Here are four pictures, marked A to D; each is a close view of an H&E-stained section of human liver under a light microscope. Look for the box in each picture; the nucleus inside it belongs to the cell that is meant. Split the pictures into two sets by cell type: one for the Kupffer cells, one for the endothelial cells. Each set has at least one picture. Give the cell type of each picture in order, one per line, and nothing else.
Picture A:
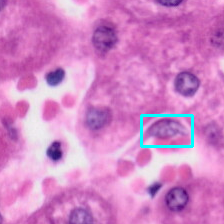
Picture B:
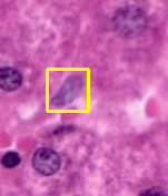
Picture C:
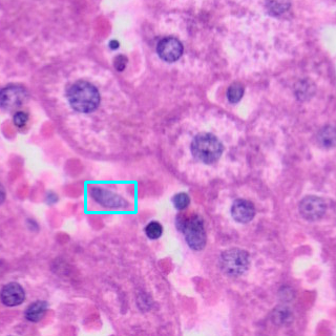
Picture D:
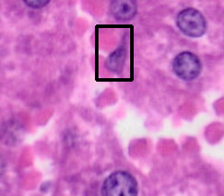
Kupffer cell
Kupffer cell
Kupffer cell
endothelial cell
